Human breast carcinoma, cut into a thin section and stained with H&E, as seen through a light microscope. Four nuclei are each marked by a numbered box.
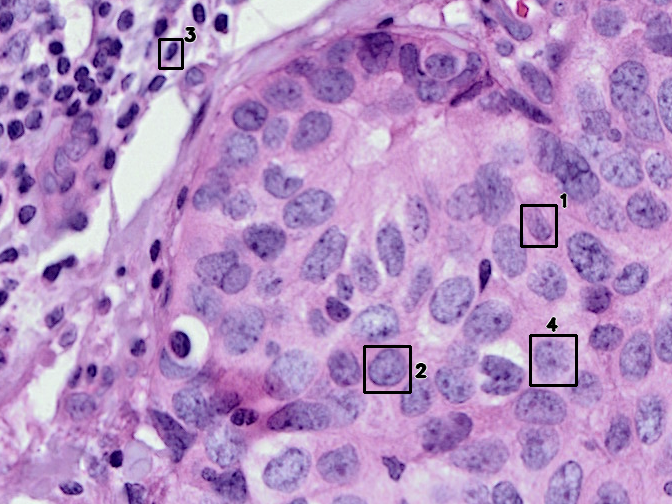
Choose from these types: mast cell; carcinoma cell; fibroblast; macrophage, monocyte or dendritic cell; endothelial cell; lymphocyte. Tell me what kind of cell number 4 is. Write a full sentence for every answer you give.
The cell carrying label 4 is identified as a carcinoma cell.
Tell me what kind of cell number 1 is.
The cell that goes by number 1 is a carcinoma cell.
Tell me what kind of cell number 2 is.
Cell 2, as marked in the section, is a carcinoma cell.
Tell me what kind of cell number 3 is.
Cell 3, among those numbered, is a lymphocyte.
